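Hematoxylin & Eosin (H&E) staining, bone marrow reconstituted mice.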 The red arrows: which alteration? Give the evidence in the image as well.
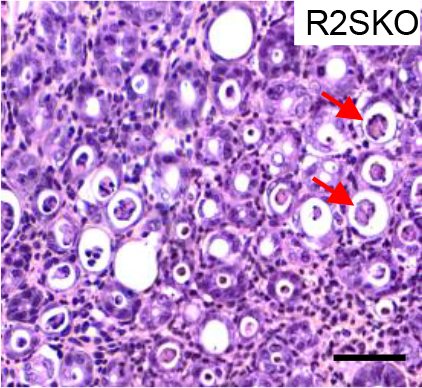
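The arrows point to cut crypts with widened lumens. The lumens hold pink debris and cells. The crypts lie crowded among a dense cellular infiltrate. So: crypt abscesses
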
